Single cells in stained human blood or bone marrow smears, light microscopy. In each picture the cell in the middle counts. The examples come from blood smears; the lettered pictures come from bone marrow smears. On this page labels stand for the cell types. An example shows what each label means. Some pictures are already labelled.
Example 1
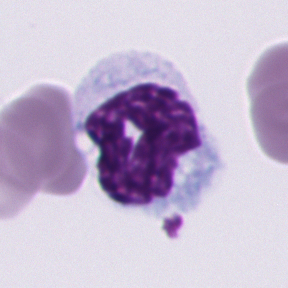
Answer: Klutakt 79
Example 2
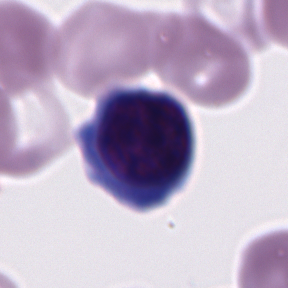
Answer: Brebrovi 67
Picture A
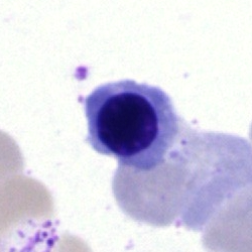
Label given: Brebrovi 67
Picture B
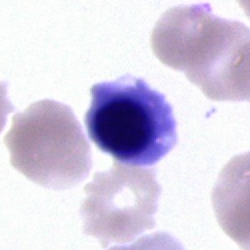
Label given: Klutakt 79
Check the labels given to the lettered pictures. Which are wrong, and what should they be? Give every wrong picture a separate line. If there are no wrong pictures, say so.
B: Brebrovi 67, not Klutakt 79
